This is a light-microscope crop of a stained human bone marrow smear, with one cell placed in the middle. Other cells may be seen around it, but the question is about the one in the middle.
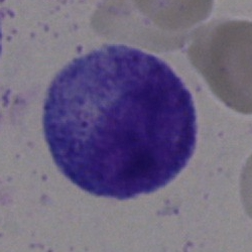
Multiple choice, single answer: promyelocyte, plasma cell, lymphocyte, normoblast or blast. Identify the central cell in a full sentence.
Seen at the centre of the crop is a promyelocyte.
